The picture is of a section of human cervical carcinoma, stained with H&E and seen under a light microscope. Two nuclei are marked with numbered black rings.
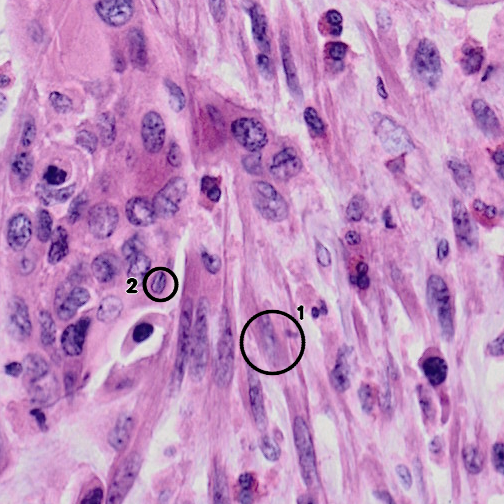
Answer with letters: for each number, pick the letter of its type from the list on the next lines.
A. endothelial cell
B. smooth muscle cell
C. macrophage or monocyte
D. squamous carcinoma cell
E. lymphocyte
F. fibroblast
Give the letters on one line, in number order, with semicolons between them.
F; D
